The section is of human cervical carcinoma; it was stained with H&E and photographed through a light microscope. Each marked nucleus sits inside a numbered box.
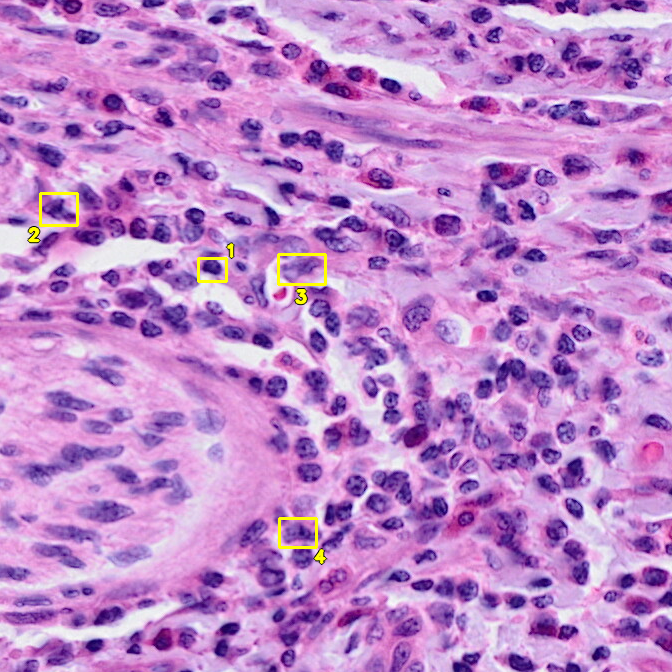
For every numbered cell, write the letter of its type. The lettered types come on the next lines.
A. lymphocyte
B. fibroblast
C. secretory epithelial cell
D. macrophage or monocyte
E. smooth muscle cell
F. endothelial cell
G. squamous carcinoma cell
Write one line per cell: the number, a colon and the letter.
1: A
2: A
3: F
4: A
